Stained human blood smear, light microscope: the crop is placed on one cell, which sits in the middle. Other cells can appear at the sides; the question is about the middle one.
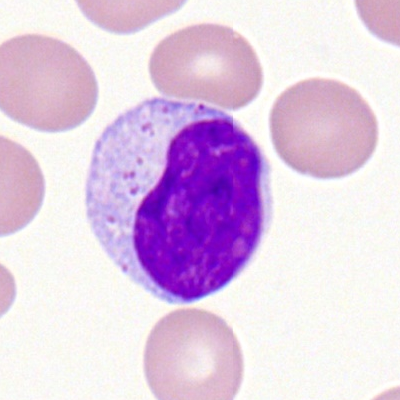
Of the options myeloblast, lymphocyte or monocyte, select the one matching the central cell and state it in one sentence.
This crop has a lymphocyte at its centre.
